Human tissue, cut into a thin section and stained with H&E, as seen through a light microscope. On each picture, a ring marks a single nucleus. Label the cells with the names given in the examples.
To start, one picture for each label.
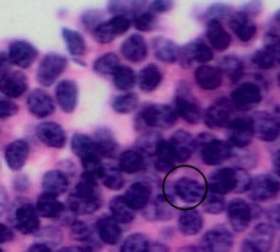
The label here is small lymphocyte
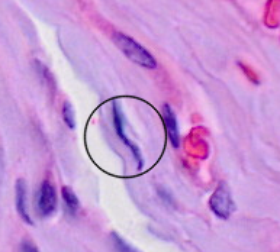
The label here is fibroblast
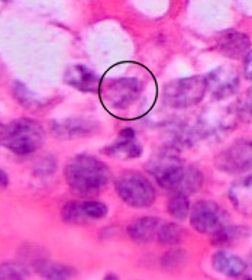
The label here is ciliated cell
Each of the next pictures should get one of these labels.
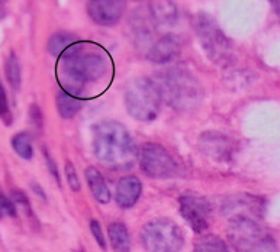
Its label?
ciliated cell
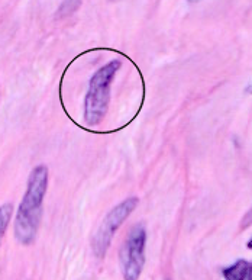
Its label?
fibroblast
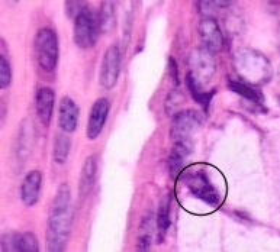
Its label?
ciliated cell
